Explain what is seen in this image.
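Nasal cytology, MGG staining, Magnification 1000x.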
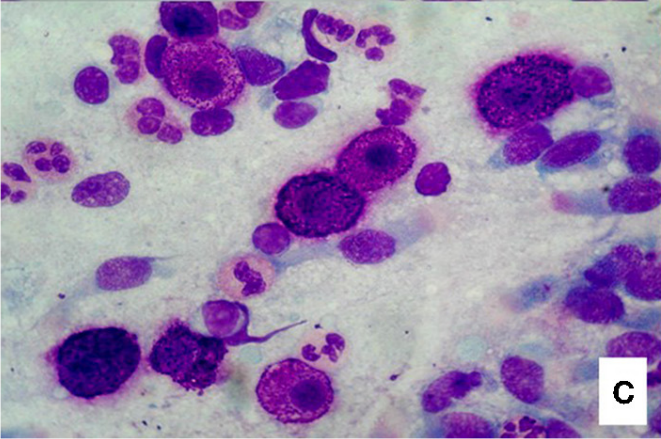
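The mast cells are the large round cells. Their cytoplasm is crowded with coarse dark purple granules, and in some of them the granules hide the nucleus almost entirely. Around them lie smaller cells whose nuclei are divided into several lobes. To the right sit elongated lining cells with oval purple nuclei and pale bluish cytoplasm.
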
